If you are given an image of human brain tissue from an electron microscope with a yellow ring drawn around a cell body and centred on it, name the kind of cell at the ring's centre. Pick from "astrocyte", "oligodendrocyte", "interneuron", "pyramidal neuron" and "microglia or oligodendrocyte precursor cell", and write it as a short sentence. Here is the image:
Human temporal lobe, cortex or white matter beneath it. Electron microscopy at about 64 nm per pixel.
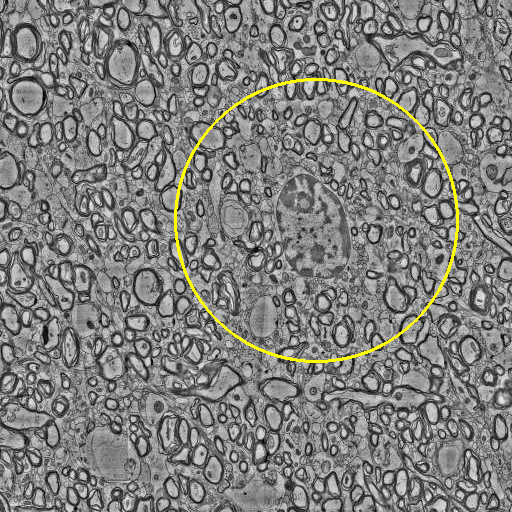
The cell at the ring's centre is a microglial cell or oligodendrocyte precursor cell.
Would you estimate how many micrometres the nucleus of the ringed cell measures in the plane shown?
The nucleus measures about 7 by 4 micrometres in this plane.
